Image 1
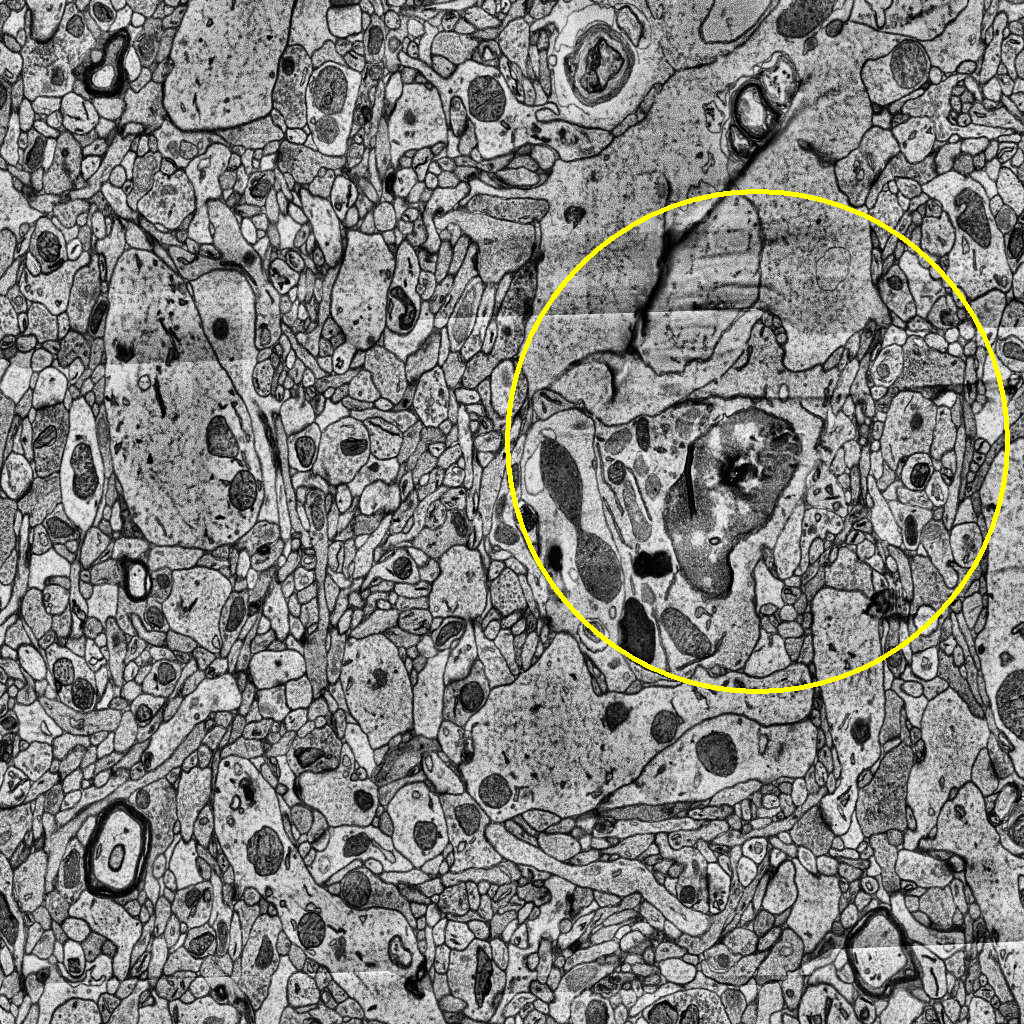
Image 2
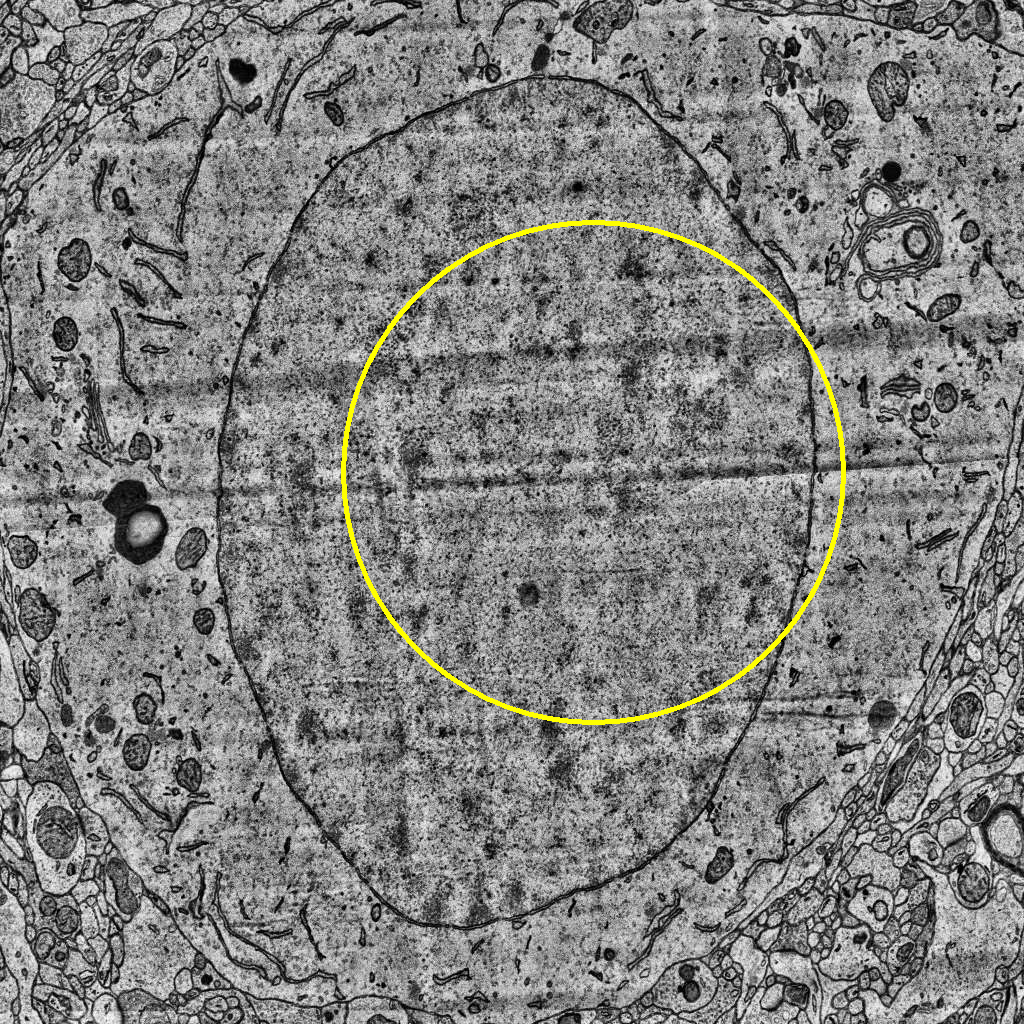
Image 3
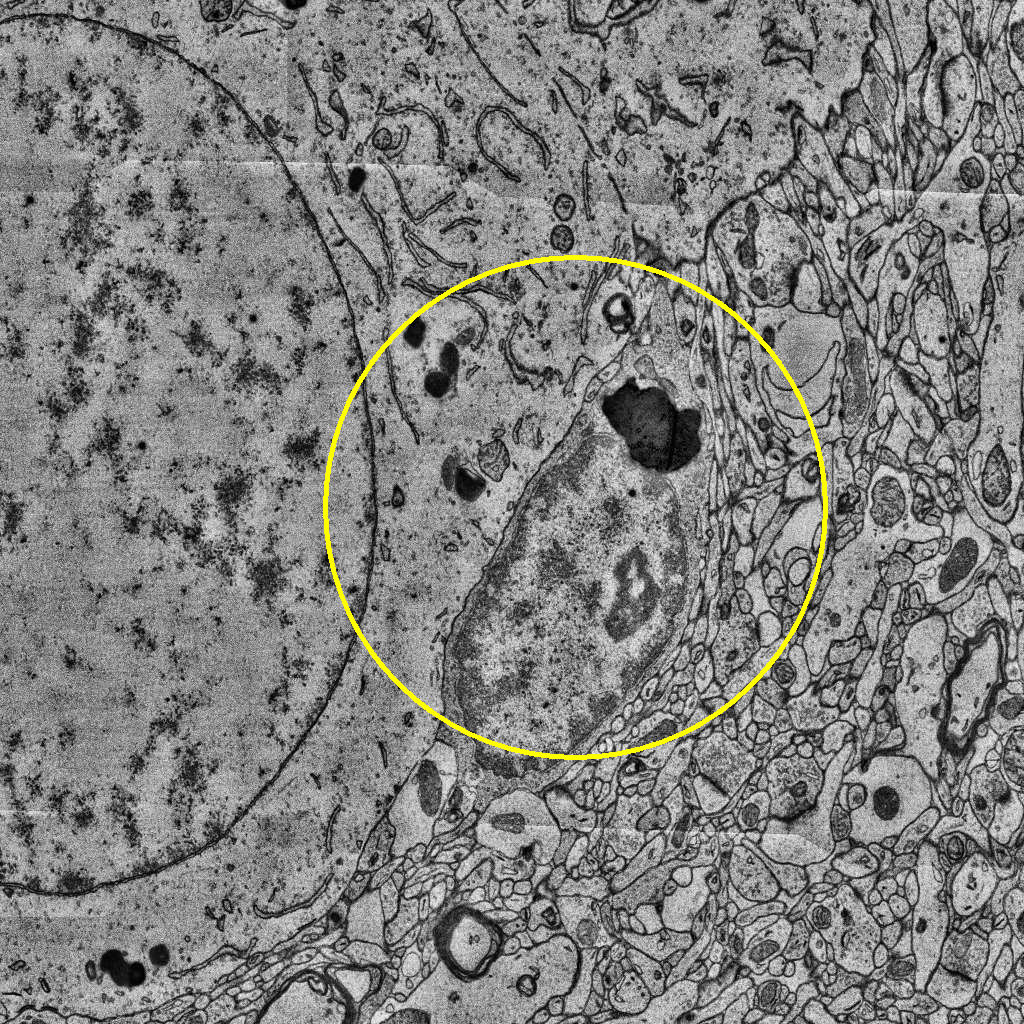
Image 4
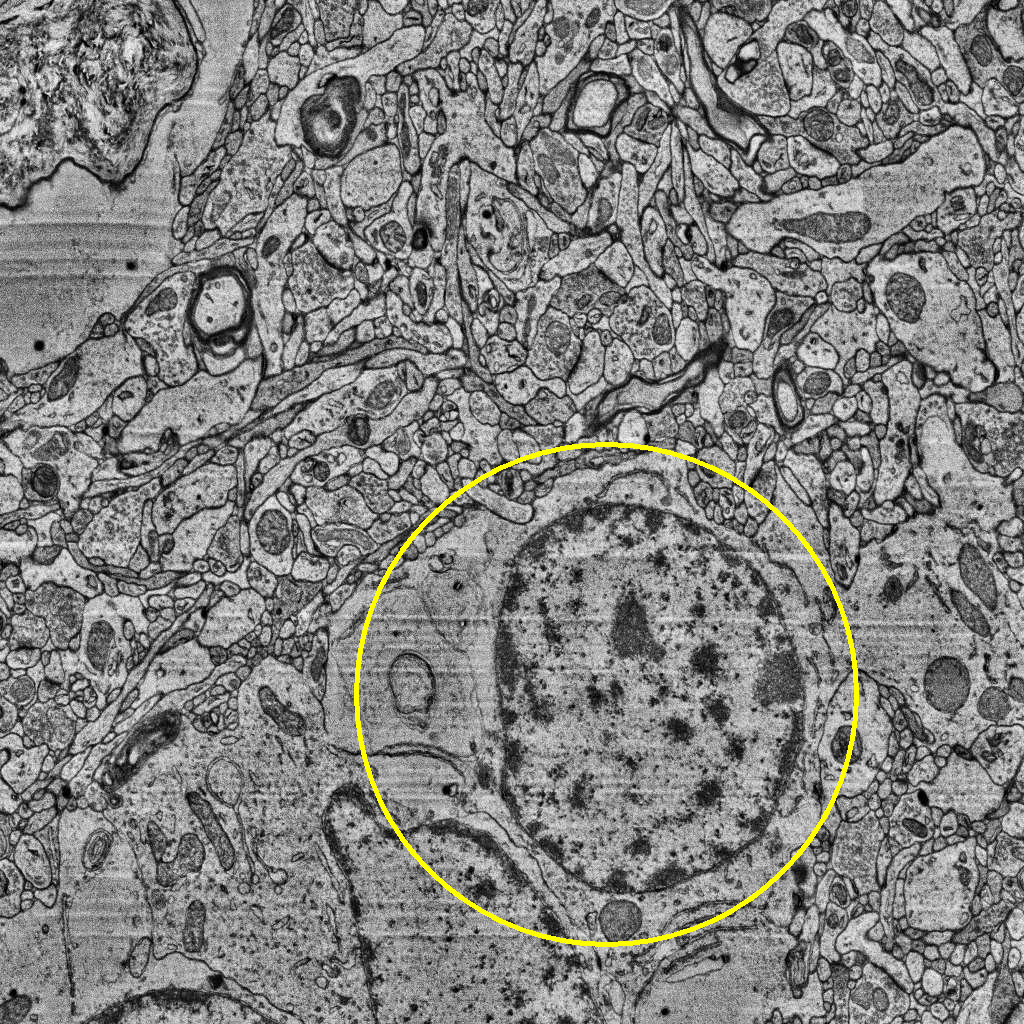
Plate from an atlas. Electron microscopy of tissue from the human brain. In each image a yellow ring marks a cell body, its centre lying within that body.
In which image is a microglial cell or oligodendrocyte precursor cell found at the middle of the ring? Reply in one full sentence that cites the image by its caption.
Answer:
The requested cell is the one at the ring's centre in Image 1.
